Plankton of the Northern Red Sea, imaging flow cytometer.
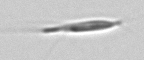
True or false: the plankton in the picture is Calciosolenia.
True.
